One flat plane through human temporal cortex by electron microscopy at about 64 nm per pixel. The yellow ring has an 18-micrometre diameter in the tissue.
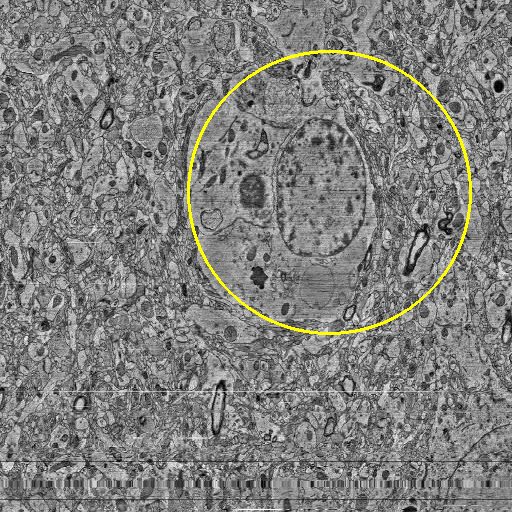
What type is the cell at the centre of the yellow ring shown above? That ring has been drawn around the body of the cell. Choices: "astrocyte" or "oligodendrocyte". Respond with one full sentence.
My answer is that an astrocyte lies at the centre of the yellow ring above.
